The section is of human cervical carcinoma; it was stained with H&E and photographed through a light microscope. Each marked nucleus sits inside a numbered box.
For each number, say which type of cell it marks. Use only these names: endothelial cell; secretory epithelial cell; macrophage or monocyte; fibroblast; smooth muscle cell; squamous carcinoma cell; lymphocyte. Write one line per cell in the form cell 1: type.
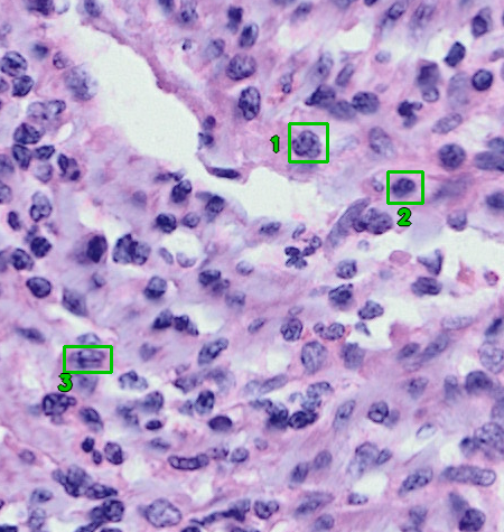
cell 1: lymphocyte
cell 2: lymphocyte
cell 3: macrophage or monocyte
